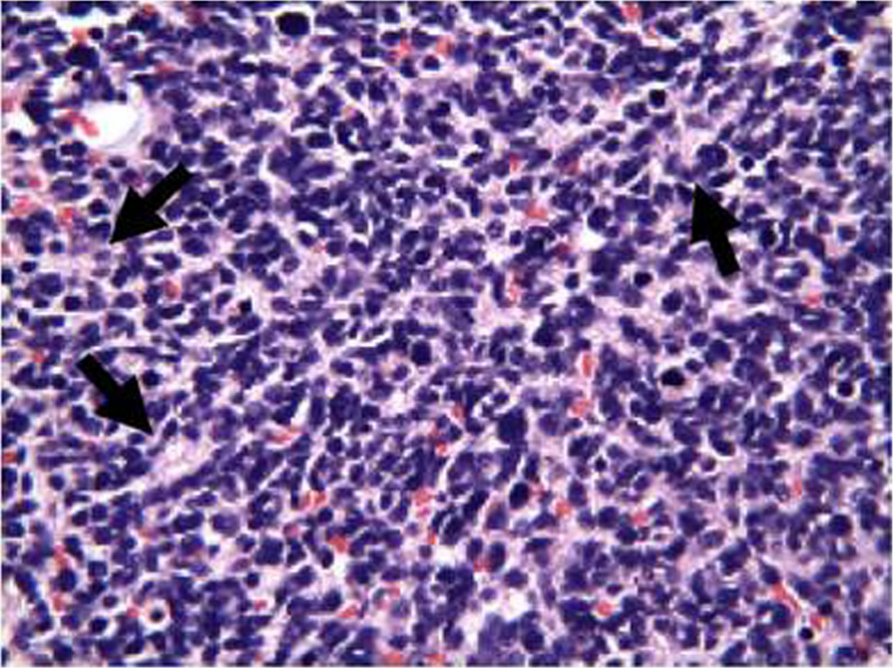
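The tumor is made of densely packed small, round, undifferentiated cells with round or oval dark purple nuclei and scant pale cytoplasm. In several places the nuclei are grouped in rings around small pale pink fibrillar centres that hold no nuclei, structures reminiscent of Homer-Wright rosettes. Small vessels with red blood cells are scattered between the cells, and a few nuclei are larger and darker than their neighbours.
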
